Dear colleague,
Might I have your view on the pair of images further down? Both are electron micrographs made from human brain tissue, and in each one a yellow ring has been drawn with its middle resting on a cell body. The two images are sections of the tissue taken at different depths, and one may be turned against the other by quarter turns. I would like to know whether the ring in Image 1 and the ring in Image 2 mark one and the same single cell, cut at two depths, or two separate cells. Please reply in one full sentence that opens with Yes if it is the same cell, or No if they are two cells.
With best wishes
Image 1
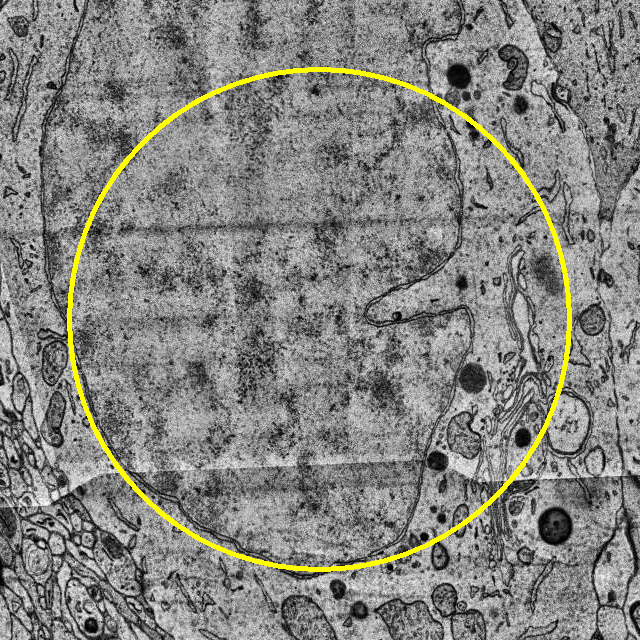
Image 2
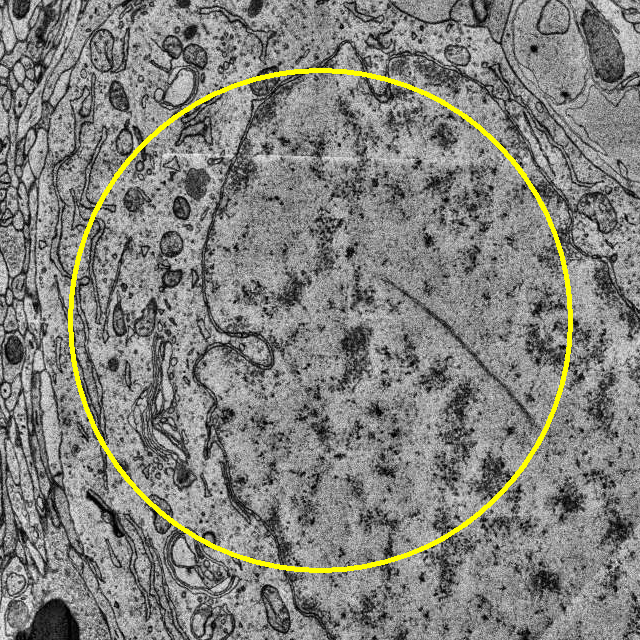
No, the cells within these rings are two separate cells.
